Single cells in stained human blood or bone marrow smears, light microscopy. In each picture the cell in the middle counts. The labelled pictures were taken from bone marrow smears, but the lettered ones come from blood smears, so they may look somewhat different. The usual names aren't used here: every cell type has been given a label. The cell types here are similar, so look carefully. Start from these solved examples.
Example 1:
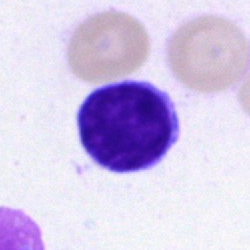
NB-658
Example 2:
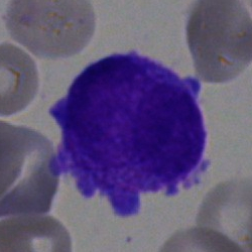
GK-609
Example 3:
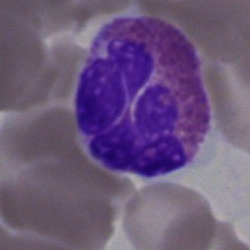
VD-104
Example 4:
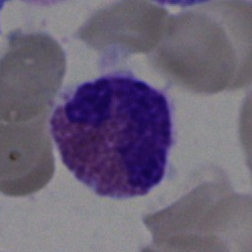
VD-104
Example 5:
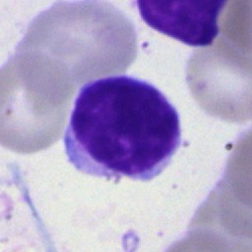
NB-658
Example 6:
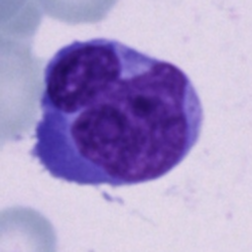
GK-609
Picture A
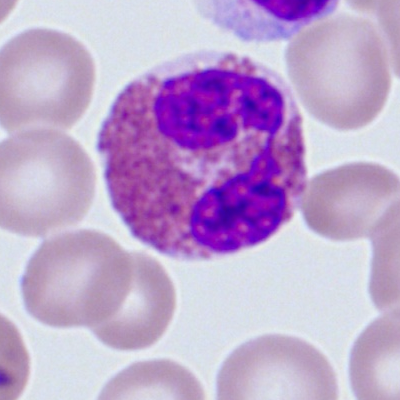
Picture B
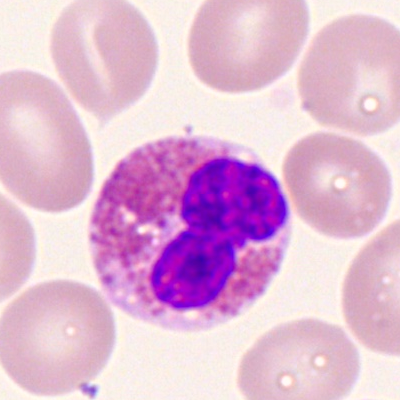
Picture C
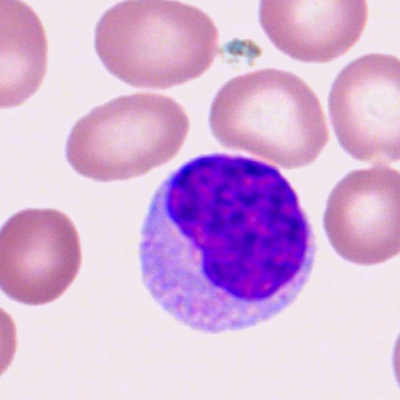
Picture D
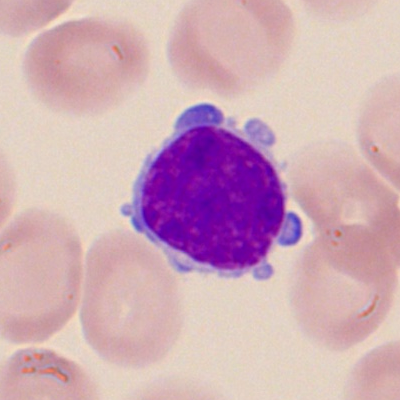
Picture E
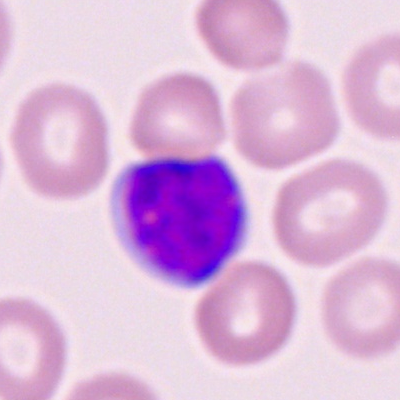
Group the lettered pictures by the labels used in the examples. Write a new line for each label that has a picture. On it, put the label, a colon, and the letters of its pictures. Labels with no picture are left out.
NB-658: C, D, E
VD-104: A, B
